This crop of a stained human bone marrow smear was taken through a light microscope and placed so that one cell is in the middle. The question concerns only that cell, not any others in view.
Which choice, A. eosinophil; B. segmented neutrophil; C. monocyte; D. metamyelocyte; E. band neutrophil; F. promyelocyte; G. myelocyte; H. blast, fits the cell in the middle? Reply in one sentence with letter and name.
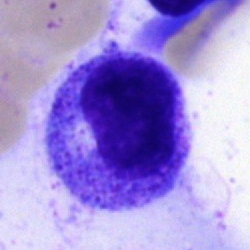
That the central cell is a promyelocyte makes option F correct.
